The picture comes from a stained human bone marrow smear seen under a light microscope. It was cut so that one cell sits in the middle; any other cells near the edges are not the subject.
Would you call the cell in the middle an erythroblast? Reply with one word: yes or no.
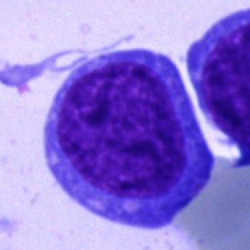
no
